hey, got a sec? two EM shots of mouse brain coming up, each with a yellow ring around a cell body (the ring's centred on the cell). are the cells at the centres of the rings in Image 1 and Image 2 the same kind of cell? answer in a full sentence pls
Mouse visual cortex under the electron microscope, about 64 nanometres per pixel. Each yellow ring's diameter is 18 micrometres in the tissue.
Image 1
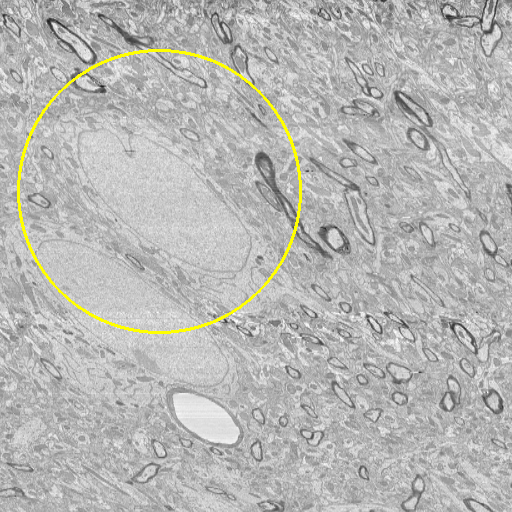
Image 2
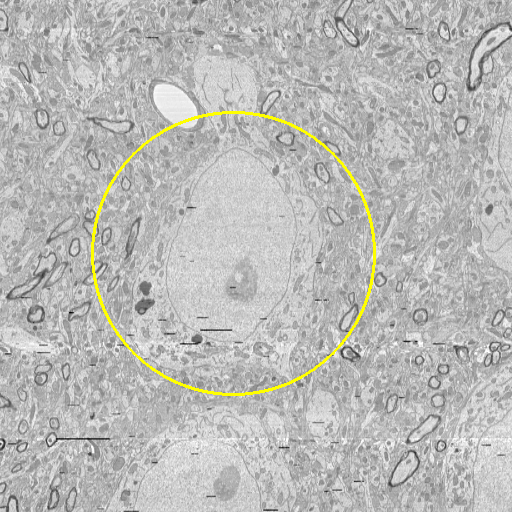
Yes, both are the same kind of cell.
